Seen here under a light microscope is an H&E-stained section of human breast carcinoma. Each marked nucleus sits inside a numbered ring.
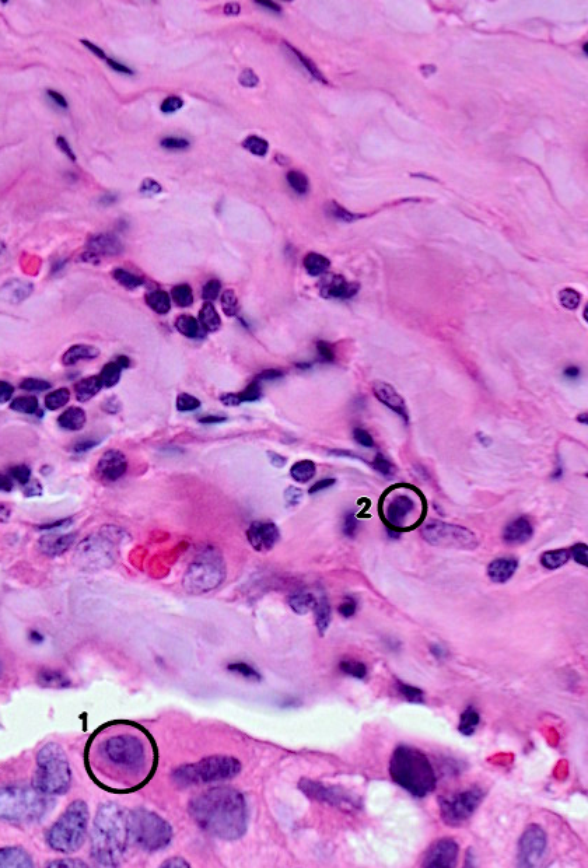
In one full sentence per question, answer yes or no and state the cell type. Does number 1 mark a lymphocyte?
No, cell 1 is identified not as a lymphocyte but as a carcinoma cell.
